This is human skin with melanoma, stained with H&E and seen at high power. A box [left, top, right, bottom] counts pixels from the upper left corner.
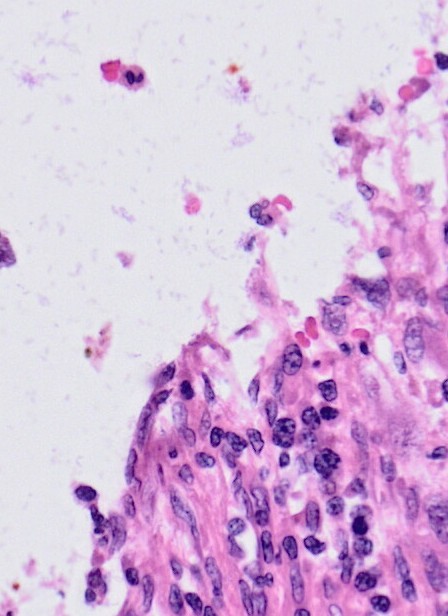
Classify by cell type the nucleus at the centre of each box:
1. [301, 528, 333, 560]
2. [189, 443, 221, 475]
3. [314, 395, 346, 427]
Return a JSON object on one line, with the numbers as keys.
{"1": "lymphocyte", "2": "lymphocyte", "3": "plasma cell"}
